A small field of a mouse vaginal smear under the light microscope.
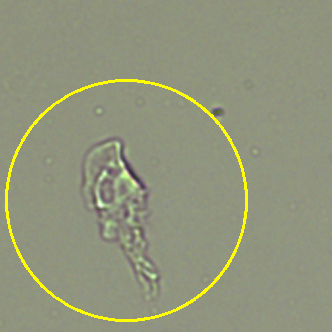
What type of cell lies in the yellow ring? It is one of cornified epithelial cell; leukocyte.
The ringed cell is a cornified epithelial cell.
